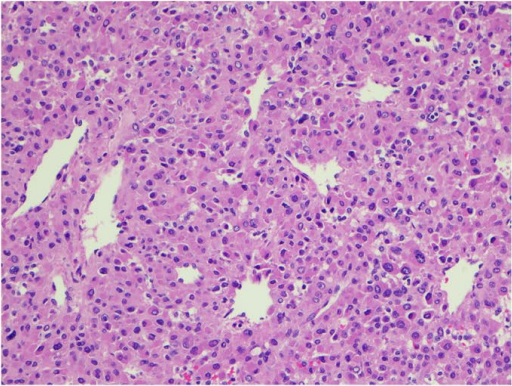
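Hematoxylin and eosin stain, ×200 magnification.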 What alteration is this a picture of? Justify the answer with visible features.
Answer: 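Sheets of polygonal to oval cells with eosinophilic granular cytoplasm. Cells lie in a continuous sheet. Cells are polygonal to oval with round dark nuclei. Cytoplasm is pink and finely granular.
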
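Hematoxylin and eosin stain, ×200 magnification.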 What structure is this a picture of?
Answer: Hemangiopericytoma‐like capillaries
